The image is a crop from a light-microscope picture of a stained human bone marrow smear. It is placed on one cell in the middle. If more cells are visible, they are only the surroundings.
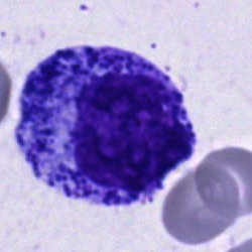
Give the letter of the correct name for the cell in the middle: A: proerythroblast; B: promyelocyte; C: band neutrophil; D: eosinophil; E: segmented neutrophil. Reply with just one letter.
B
